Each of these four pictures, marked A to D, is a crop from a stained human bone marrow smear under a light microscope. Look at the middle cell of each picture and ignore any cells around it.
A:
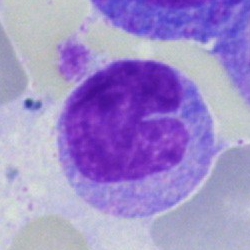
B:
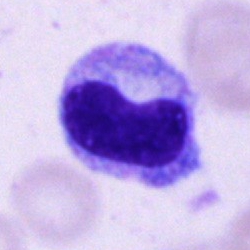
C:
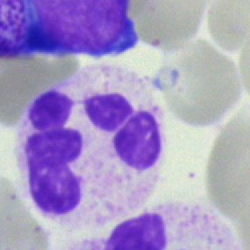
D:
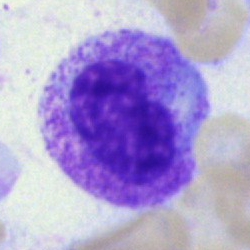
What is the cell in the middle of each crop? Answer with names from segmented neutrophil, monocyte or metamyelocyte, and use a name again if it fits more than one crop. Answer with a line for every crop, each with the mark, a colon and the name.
A: monocyte
B: metamyelocyte
C: segmented neutrophil
D: metamyelocyte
